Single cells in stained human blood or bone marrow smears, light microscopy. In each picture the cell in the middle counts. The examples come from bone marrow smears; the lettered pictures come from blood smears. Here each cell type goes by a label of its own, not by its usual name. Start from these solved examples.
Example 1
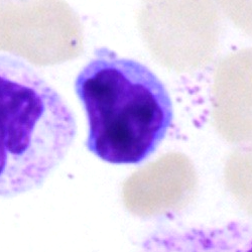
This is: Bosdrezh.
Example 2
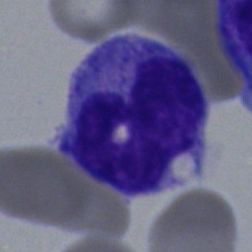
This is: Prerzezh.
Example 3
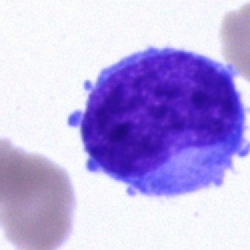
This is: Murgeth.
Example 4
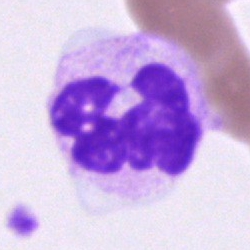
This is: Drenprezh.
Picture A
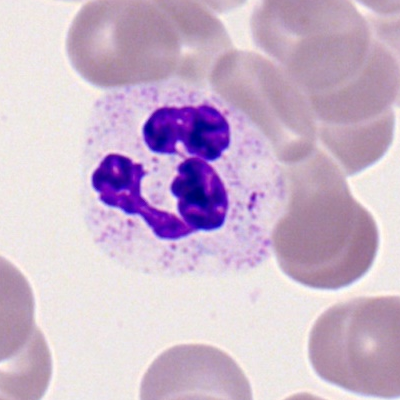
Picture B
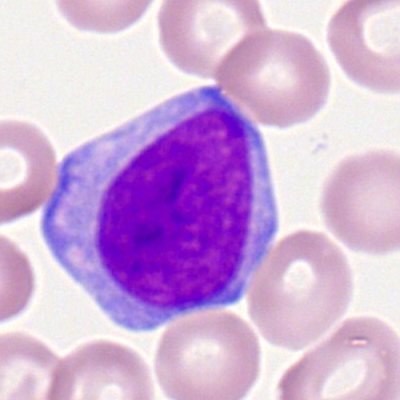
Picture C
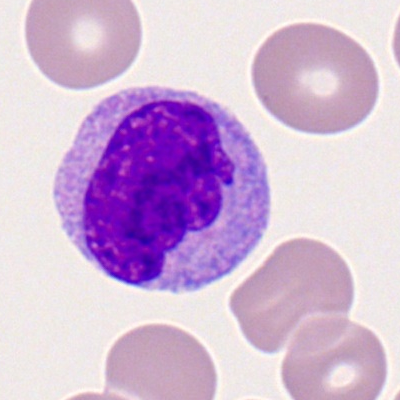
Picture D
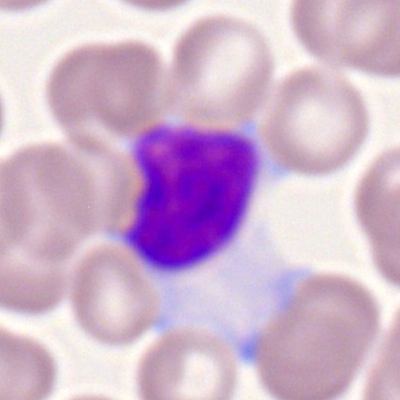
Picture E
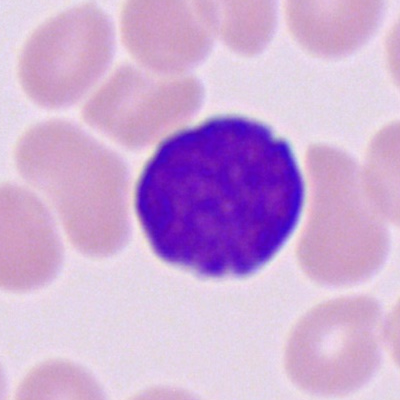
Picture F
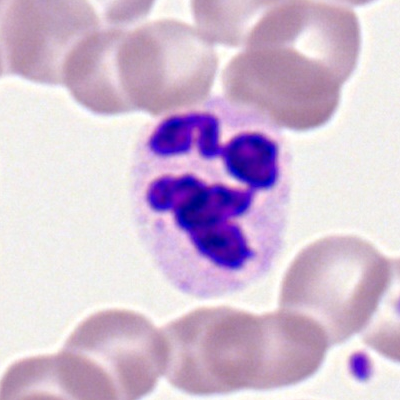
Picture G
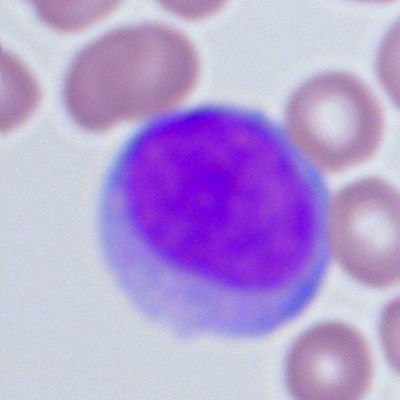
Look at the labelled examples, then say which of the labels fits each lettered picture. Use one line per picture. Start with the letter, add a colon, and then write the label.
A: Drenprezh.
B: Murgeth.
C: Prerzezh.
D: Bosdrezh.
E: Murgeth.
F: Drenprezh.
G: Murgeth.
